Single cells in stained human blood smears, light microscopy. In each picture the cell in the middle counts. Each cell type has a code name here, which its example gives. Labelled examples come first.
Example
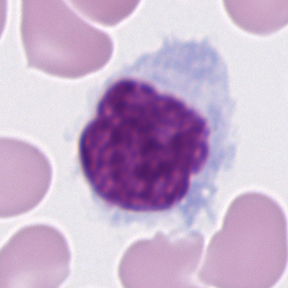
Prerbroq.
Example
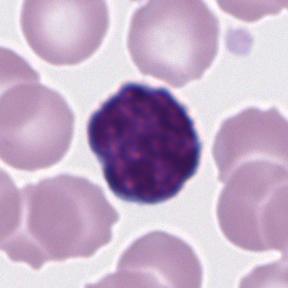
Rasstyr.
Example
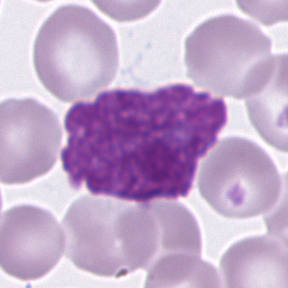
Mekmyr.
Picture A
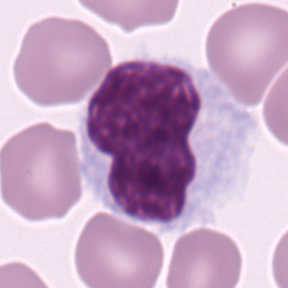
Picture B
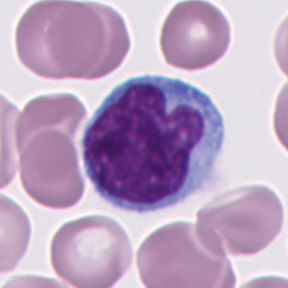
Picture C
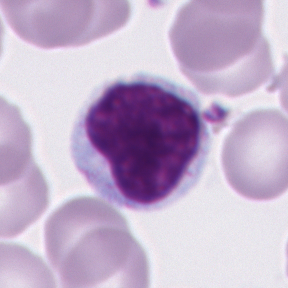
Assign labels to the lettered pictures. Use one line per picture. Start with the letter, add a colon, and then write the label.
A: Prerbroq.
B: Rasstyr.
C: Rasstyr.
